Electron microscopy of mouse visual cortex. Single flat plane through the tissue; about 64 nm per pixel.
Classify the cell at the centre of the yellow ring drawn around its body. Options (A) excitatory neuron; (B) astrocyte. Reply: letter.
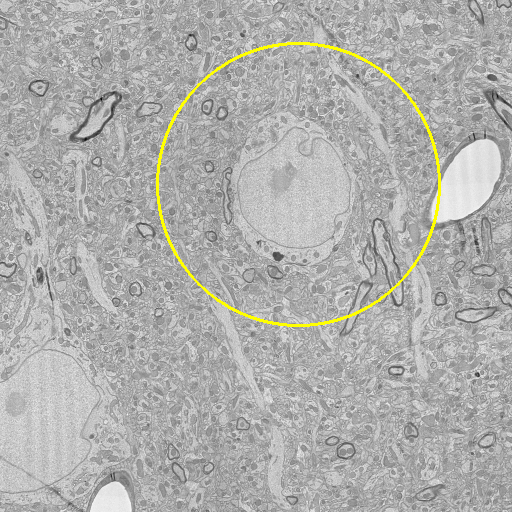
A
